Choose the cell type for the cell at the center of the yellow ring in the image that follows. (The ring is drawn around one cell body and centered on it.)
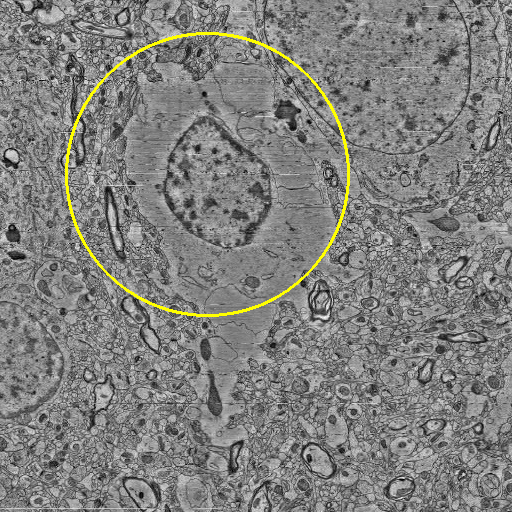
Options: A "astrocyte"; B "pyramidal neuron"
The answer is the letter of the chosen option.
A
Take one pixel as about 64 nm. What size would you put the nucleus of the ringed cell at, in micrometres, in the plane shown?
In this plane, roughly 9 by 7 micrometres.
